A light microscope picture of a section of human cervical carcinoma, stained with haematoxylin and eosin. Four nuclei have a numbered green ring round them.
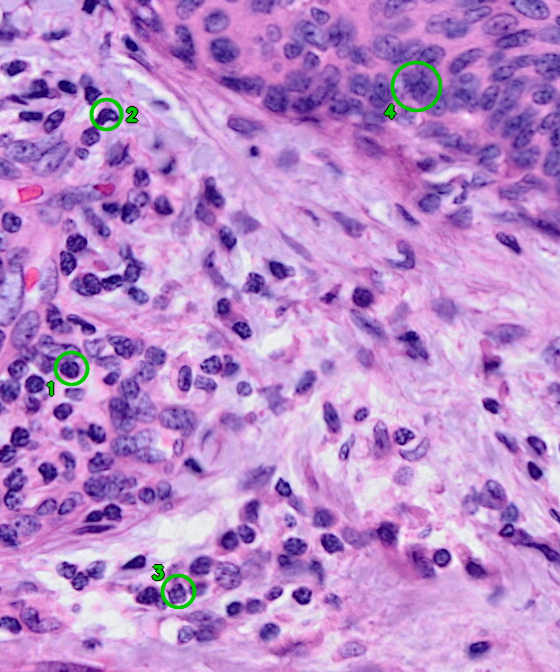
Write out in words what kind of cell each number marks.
Cells 1, 2 and 3 are lymphocytes. Cell 4 is a squamous carcinoma cell.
